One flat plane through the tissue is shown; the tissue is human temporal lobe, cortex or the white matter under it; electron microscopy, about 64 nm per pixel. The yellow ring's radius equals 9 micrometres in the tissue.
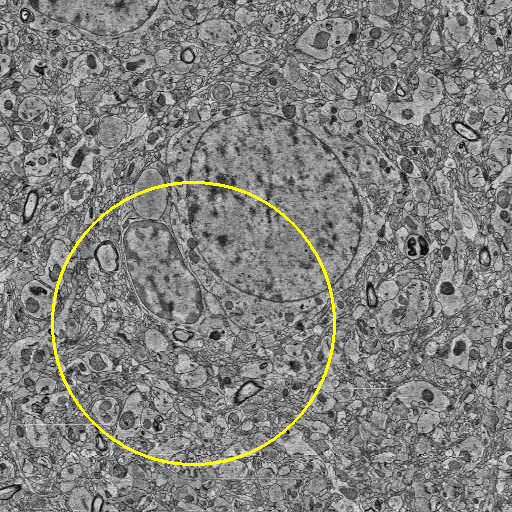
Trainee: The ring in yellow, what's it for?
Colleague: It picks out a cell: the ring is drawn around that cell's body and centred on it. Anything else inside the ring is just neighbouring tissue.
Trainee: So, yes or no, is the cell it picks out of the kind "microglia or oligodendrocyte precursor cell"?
yes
